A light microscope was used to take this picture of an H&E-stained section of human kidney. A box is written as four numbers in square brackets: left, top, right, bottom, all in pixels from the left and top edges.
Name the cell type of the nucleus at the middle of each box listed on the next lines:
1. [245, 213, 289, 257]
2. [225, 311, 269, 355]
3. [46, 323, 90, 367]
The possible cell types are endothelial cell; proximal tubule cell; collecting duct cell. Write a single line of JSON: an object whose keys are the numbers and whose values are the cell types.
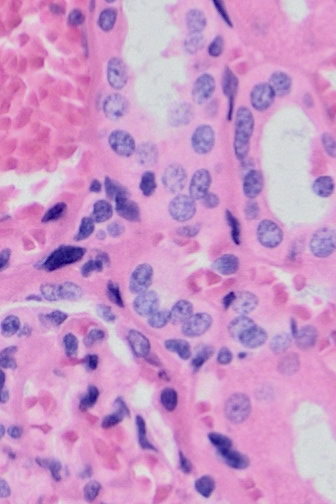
{"1": "collecting duct cell", "2": "collecting duct cell", "3": "endothelial cell"}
